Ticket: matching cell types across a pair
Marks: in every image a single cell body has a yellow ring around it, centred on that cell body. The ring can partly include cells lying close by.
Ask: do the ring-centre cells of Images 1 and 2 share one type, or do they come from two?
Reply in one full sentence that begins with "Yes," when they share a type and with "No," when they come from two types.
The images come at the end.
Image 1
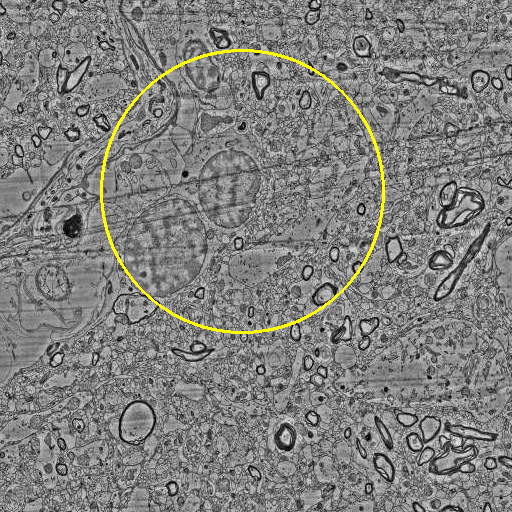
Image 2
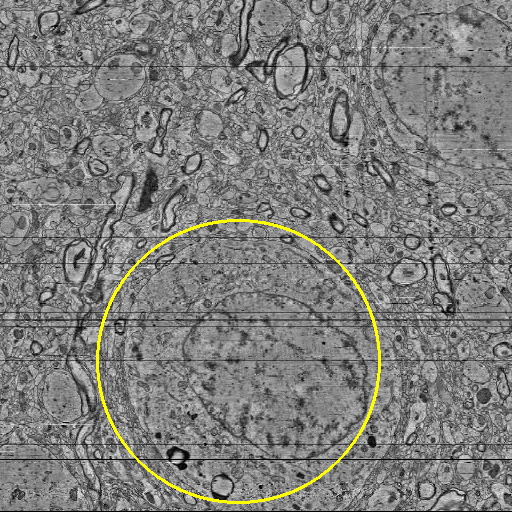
No, the cells in the centres of the rings in Image 1 and Image 2 come from two types.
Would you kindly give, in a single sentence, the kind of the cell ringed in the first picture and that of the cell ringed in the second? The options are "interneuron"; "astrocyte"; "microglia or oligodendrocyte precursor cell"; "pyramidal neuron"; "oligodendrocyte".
The second cell is a pyramidal neuron, and the first cell is an oligodendrocyte.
